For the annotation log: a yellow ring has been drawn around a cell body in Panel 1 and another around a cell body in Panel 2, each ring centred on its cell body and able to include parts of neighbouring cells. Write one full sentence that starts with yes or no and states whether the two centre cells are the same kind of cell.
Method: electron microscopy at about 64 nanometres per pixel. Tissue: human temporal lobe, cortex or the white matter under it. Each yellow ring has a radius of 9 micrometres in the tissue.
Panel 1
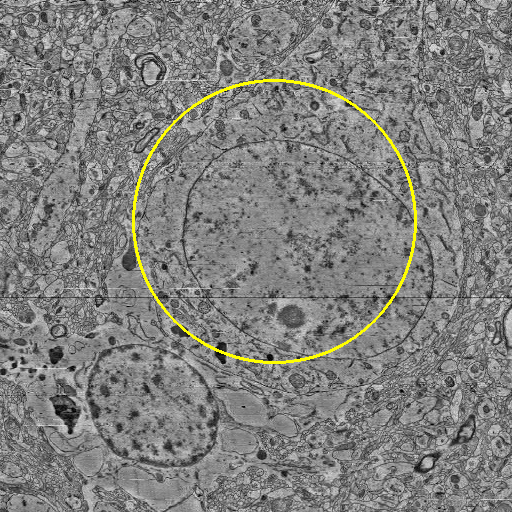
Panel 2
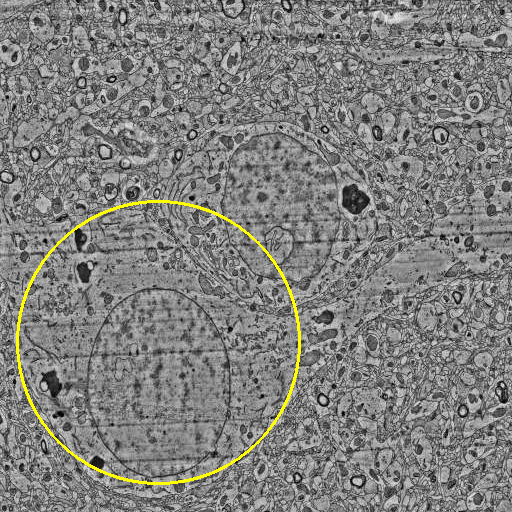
Yes, the two centre cells are the same kind of cell.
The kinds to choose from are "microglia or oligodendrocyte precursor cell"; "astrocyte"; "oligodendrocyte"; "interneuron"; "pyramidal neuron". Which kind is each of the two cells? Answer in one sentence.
Each cell, in the first picture and the second, is a pyramidal neuron.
